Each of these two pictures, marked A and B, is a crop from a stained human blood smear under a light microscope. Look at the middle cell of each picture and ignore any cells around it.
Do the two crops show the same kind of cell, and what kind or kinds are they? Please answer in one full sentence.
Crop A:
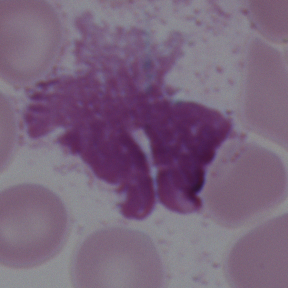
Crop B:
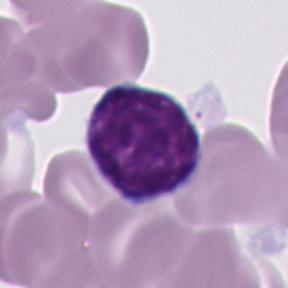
No, crop A carries a smudge cell and crop B carries a typical lymphocyte.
